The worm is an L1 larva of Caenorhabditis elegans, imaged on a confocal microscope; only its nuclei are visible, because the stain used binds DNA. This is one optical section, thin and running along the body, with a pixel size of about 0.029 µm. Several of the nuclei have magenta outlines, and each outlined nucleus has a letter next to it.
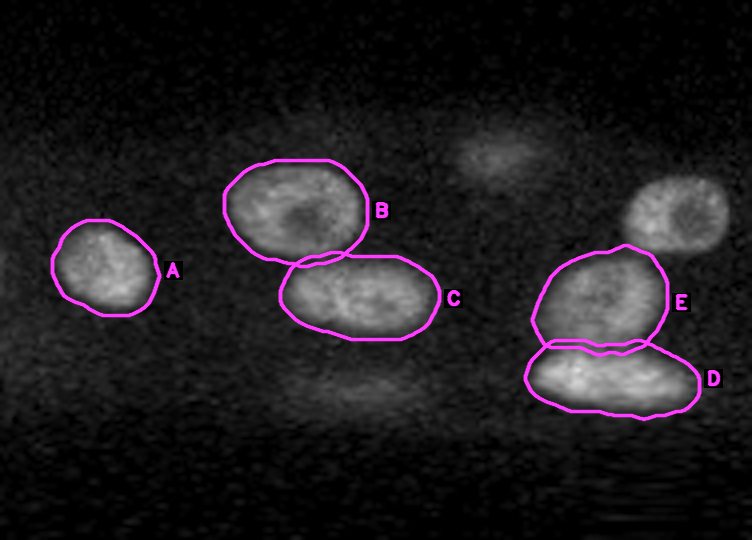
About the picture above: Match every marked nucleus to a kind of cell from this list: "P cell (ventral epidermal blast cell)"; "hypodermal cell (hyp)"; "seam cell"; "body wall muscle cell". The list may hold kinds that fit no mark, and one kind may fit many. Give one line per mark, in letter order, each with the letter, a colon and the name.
A: seam cell
B: hypodermal cell (hyp)
C: P cell (ventral epidermal blast cell)
D: body wall muscle cell
E: seam cell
